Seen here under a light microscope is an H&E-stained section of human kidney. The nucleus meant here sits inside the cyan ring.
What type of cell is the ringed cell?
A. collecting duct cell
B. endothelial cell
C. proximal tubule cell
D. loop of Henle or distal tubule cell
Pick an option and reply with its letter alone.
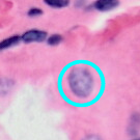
D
